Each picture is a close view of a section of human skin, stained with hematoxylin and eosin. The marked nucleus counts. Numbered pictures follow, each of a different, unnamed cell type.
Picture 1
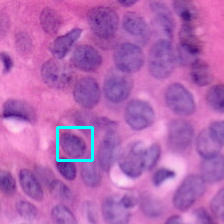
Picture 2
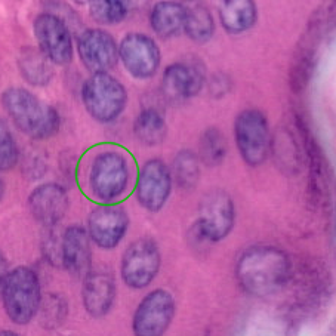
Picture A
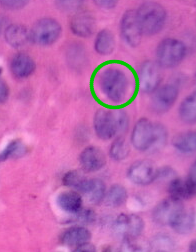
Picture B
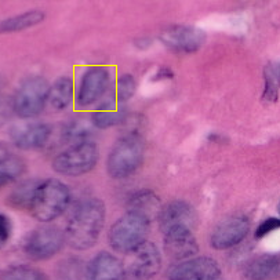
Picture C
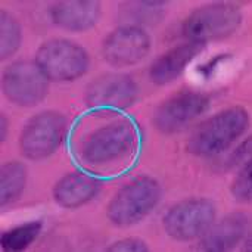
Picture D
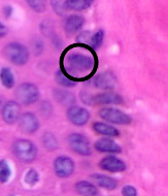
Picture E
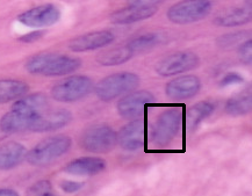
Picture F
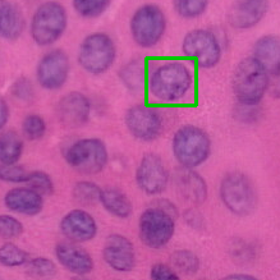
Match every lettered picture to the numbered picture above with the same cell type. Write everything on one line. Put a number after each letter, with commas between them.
A 1, B 1, C 2, D 1, E 1, F 2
